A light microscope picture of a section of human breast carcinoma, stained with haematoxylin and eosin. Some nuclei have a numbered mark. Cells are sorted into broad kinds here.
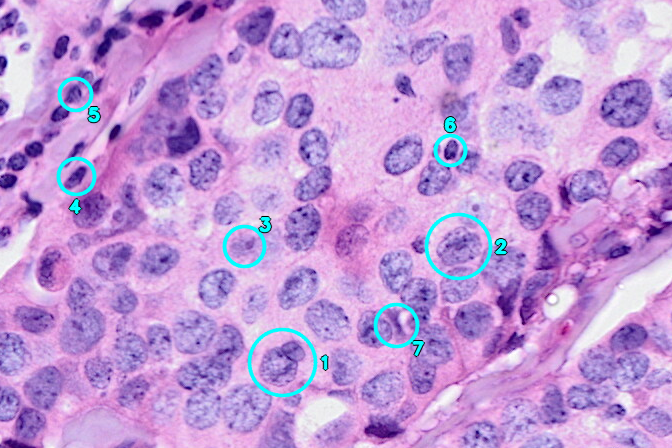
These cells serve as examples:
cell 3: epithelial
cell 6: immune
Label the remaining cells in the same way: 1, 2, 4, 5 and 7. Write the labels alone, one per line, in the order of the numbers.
epithelial
epithelial
immune
immune
epithelial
